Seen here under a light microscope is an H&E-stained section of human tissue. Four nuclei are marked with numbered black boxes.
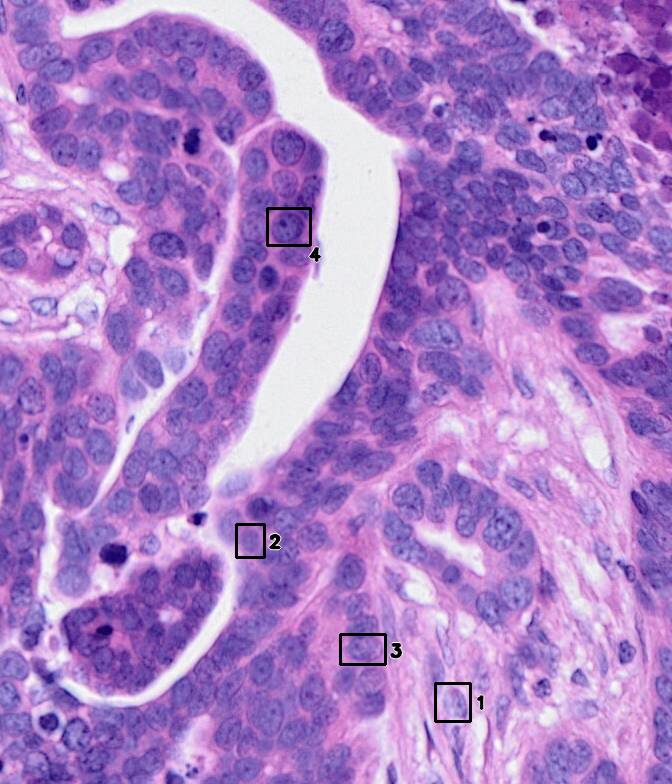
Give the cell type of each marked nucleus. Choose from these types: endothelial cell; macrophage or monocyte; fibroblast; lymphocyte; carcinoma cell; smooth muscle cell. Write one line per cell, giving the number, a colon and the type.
1: fibroblast
2: carcinoma cell
3: carcinoma cell
4: carcinoma cell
